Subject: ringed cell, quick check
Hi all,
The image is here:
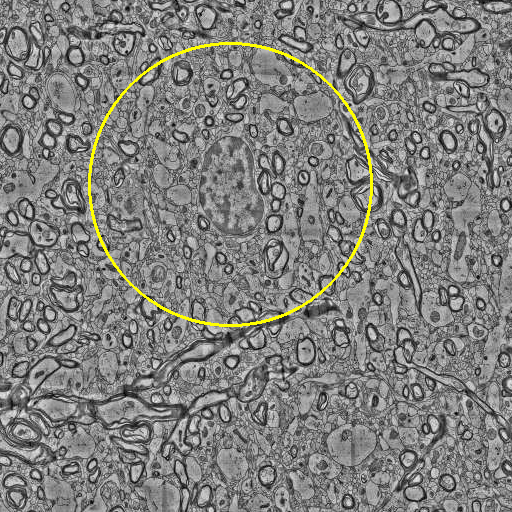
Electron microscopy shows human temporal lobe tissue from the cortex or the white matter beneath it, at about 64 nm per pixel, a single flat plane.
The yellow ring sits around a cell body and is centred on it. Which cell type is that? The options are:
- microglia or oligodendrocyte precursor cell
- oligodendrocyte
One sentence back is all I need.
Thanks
That ringed cell is a microglial cell or oligodendrocyte precursor cell.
